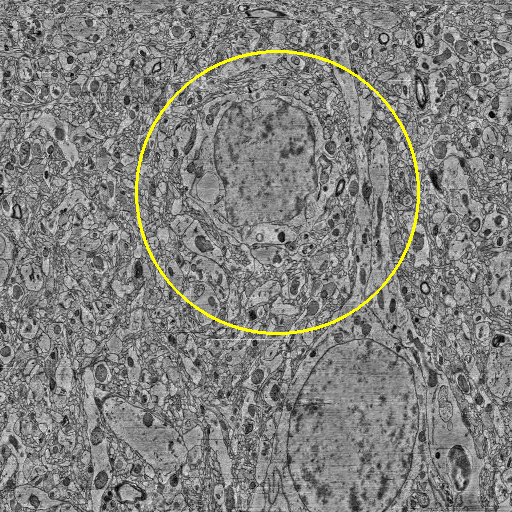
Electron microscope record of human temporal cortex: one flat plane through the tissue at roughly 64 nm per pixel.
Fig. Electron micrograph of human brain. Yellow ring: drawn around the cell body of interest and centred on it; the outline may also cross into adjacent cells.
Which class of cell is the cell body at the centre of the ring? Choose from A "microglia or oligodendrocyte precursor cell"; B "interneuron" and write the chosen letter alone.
B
